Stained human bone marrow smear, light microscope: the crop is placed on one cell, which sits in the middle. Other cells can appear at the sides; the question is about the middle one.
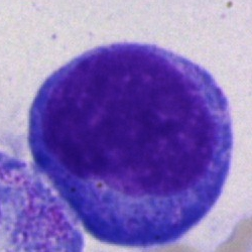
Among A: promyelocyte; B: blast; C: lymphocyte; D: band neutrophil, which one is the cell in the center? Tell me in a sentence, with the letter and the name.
Option B is to be chosen, as the central cell is a blast.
